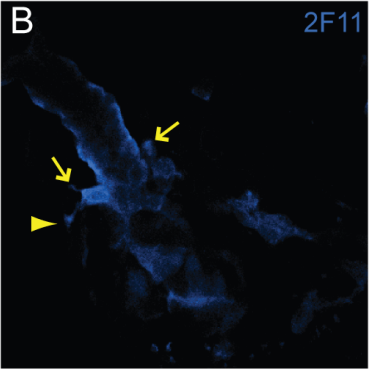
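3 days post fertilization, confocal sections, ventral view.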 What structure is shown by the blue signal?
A: Duct.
